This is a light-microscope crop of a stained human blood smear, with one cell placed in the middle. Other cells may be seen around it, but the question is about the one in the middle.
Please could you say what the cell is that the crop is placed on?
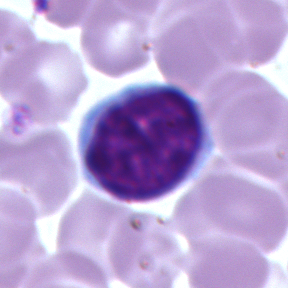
typical lymphocyte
